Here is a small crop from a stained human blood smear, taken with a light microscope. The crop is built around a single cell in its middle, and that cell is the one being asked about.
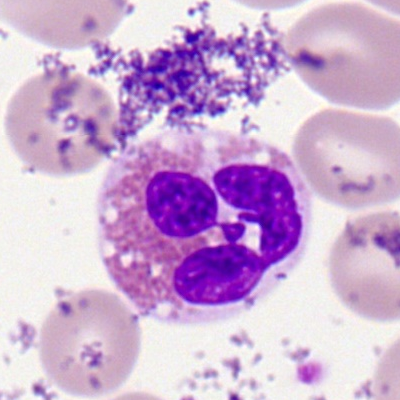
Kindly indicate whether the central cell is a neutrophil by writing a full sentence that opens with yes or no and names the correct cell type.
No, the central cell is classed as an eosinophil and not as a neutrophil.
